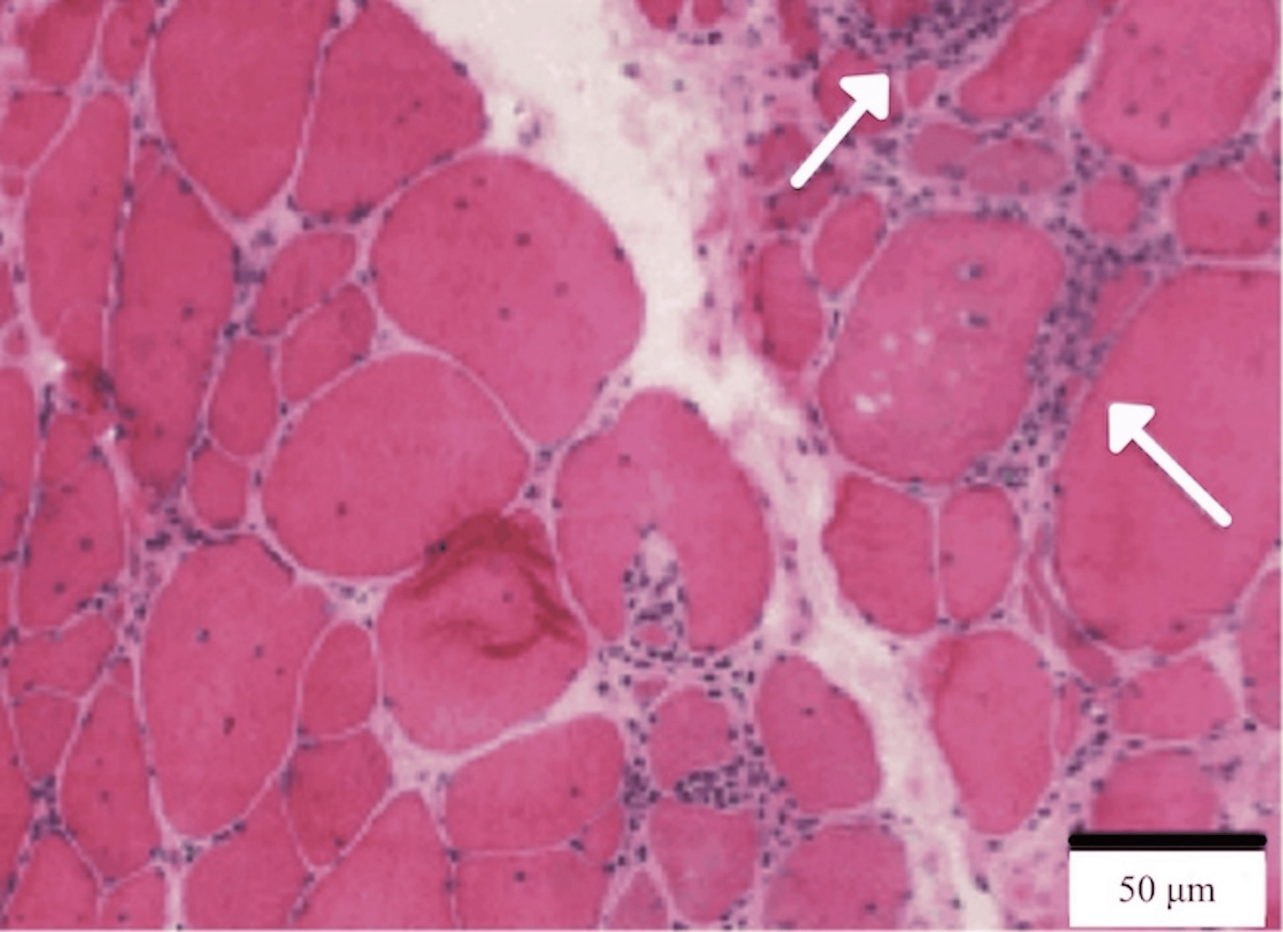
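This cross-section of skeletal muscle shows pink muscle fibers in a dystrophic pattern, with small blue nuclei scattered between them. The fibers vary markedly in size, from small rounded profiles to very large ones, and many have lost their polygonal shape. The spaces between the fibers are widened, and a pale band of loose tissue crosses the field diagonally. In several places, especially at the upper right, dense clusters of small dark nuclei of inflammatory cells crowd the spaces around individual fibers.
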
